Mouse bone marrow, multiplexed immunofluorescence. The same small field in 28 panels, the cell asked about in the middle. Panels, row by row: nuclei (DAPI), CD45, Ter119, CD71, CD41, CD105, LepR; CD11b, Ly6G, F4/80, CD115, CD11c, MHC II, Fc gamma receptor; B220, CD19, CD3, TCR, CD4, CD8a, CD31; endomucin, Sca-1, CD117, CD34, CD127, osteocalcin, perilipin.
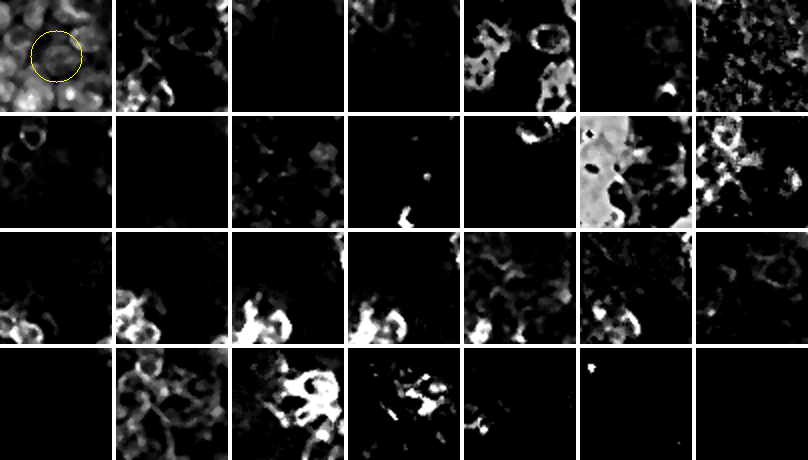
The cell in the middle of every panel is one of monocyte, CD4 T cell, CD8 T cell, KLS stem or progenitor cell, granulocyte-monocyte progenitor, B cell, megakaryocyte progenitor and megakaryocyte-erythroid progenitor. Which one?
granulocyte-monocyte progenitor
